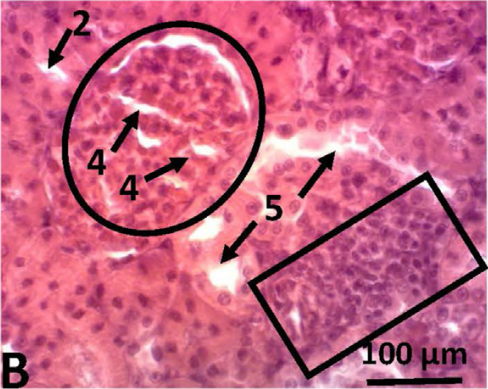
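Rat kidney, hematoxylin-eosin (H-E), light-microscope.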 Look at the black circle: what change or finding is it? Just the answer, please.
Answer: glomerulus hypertrophy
